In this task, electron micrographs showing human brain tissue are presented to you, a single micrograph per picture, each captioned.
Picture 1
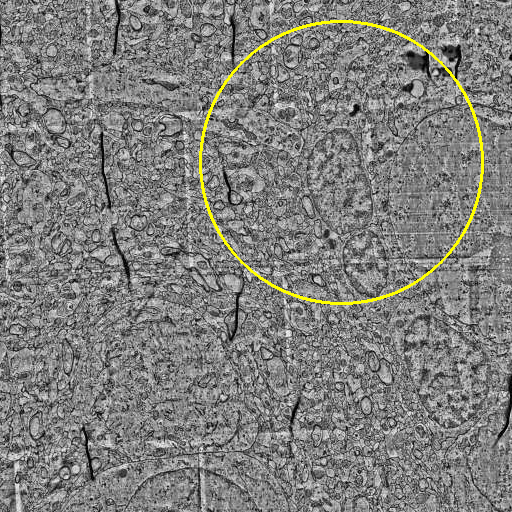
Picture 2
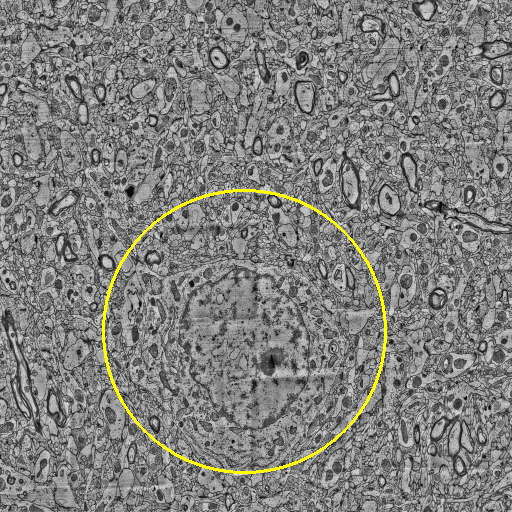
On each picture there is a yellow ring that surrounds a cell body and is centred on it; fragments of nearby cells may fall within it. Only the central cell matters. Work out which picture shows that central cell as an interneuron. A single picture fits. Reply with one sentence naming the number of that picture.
Of all the pictures, number 2 has the right cell in the centre of its ring.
